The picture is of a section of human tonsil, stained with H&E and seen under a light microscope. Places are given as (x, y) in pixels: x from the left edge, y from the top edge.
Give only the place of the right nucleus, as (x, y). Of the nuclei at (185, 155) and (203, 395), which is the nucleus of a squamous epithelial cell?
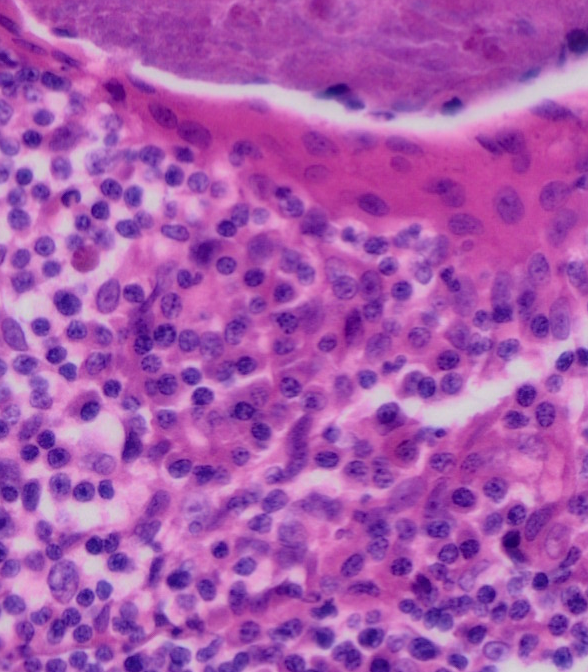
(185, 155)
